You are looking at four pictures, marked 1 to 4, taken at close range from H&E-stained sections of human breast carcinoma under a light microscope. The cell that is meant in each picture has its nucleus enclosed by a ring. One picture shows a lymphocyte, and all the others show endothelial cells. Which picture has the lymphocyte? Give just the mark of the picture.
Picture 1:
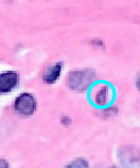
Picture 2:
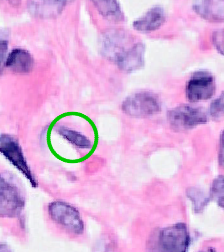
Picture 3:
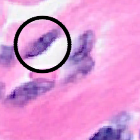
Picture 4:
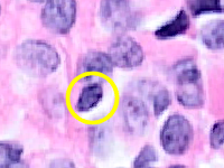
4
